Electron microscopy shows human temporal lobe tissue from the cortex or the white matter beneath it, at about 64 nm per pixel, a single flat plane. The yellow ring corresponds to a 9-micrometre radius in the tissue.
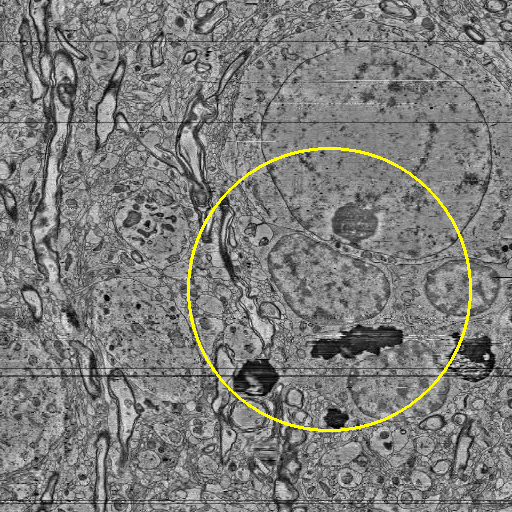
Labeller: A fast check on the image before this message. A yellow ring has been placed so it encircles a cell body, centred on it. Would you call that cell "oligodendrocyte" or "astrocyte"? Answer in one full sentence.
In this image, an oligodendrocyte is the cell on which the yellow ring is centred.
